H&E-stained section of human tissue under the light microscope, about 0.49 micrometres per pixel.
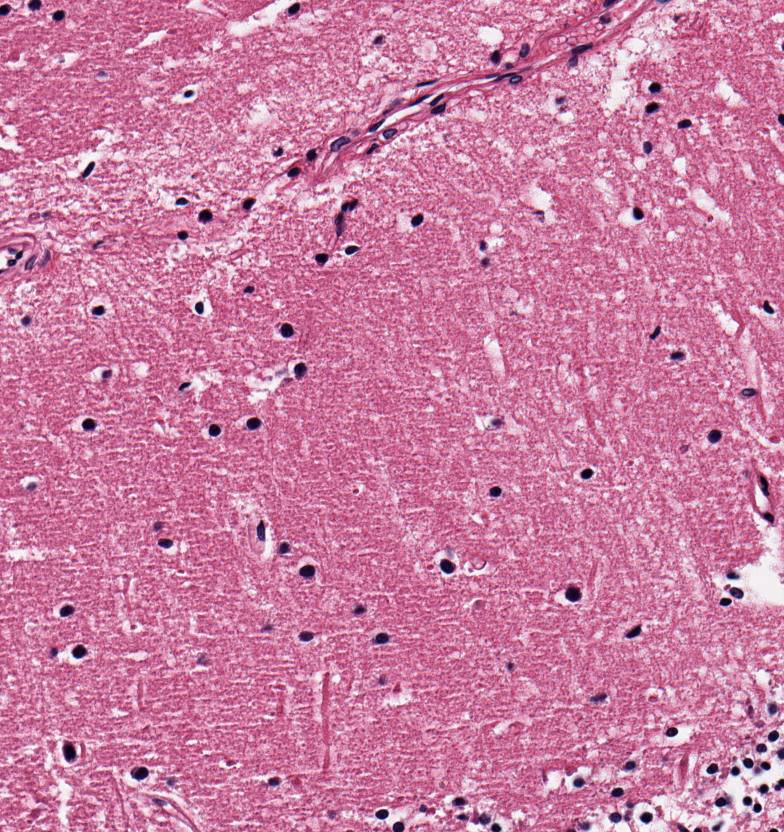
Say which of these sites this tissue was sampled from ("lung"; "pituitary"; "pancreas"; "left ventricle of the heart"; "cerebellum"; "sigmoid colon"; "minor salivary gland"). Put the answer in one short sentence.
The site this tissue was sampled from is the cerebellum.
